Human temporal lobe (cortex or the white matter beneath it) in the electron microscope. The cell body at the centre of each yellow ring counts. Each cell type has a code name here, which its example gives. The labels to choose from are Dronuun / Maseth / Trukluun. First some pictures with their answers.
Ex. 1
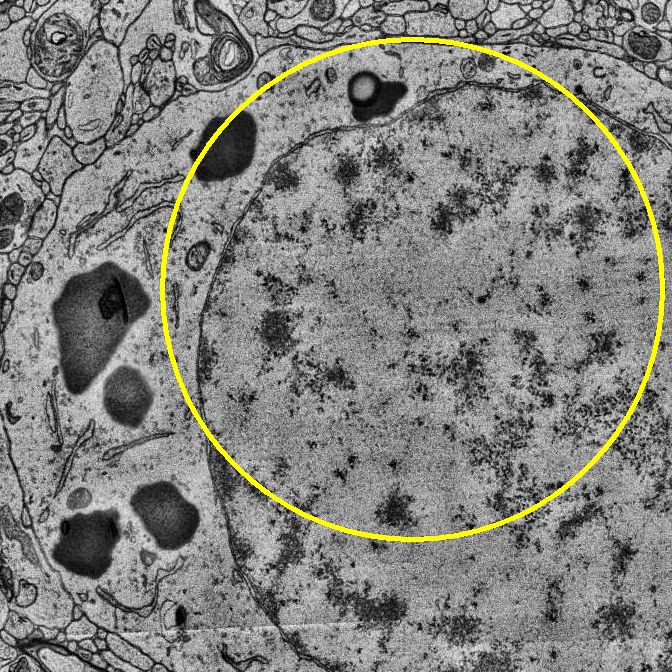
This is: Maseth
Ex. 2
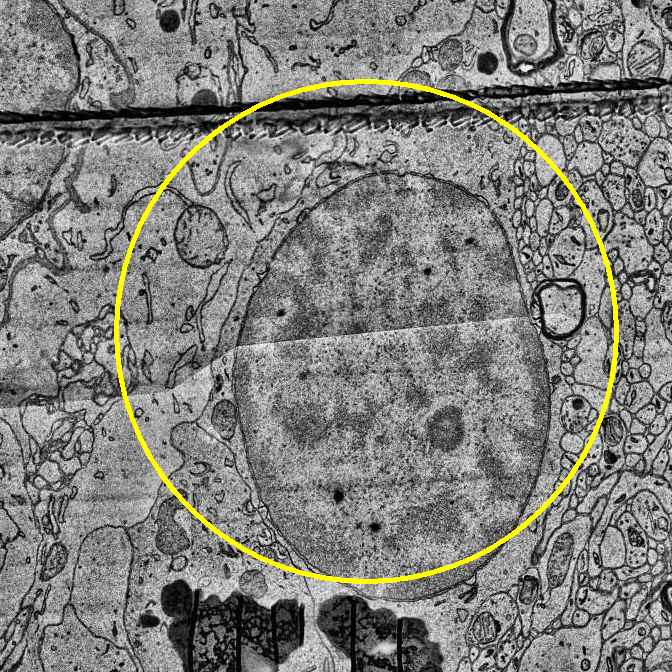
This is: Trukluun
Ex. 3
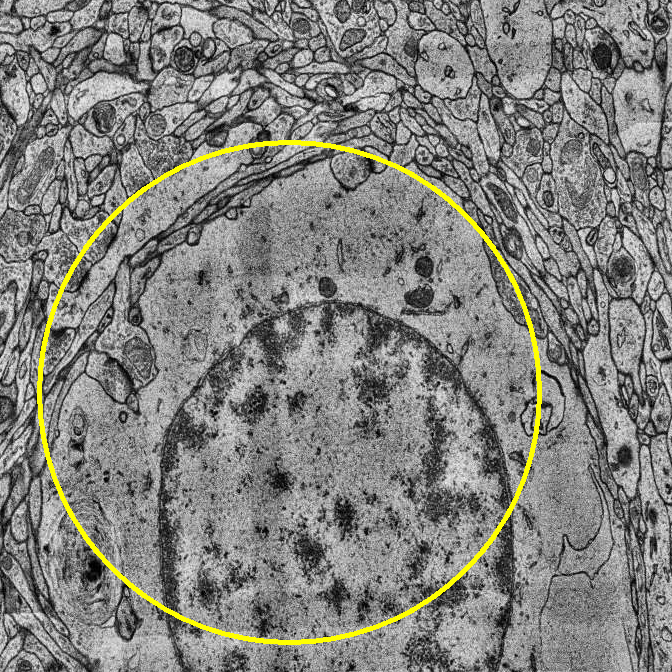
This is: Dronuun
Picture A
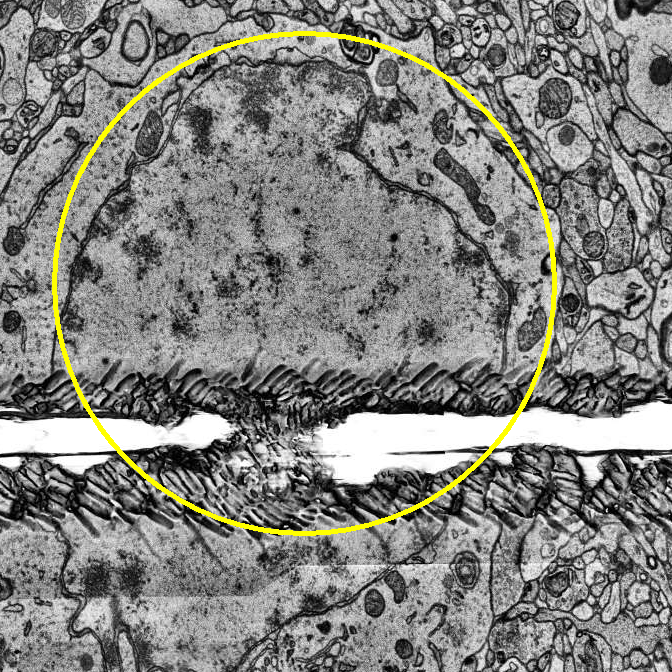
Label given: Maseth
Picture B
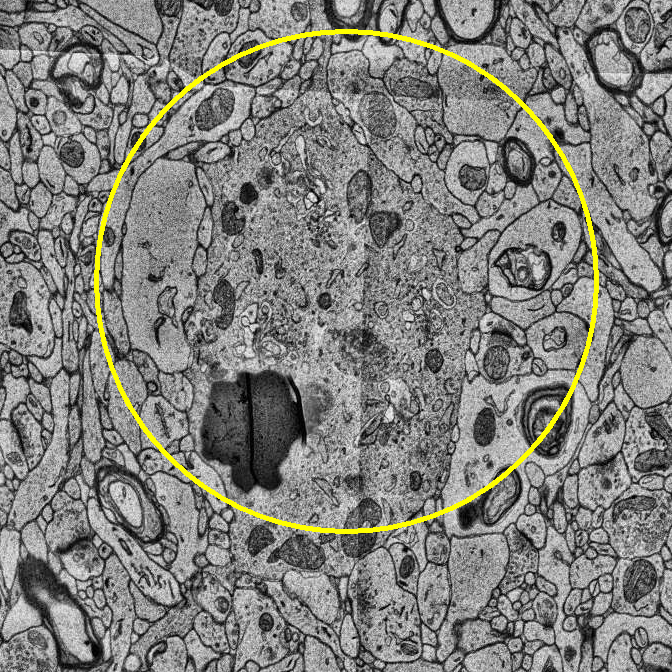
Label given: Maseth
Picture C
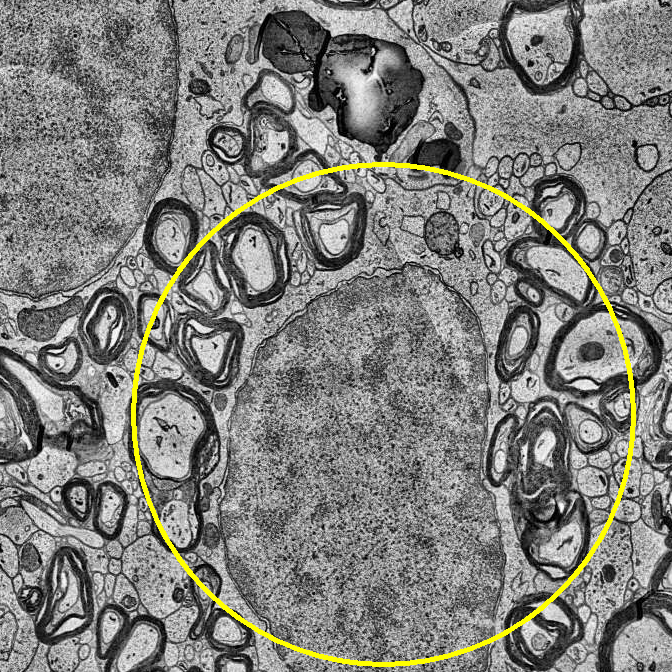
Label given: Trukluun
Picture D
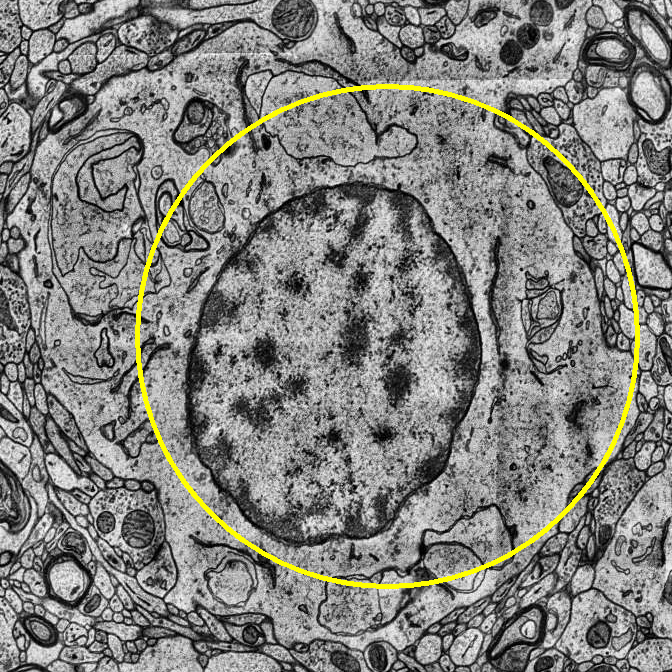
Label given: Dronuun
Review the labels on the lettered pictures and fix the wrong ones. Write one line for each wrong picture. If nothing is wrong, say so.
B is labelled Maseth; correct label: Trukluun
